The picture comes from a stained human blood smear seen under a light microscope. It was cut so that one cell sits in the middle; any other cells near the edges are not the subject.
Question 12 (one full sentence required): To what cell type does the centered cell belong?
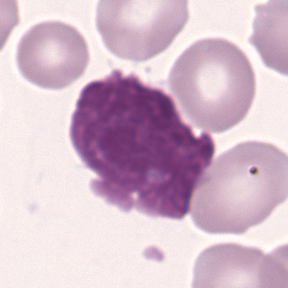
The centrally located cell in the crop is a smudge cell.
